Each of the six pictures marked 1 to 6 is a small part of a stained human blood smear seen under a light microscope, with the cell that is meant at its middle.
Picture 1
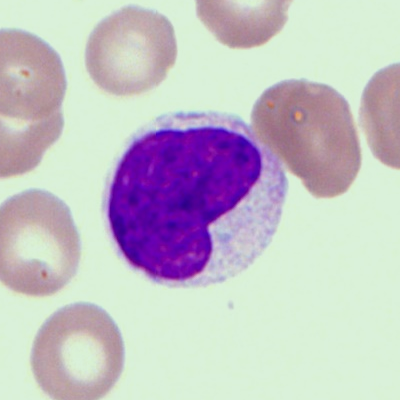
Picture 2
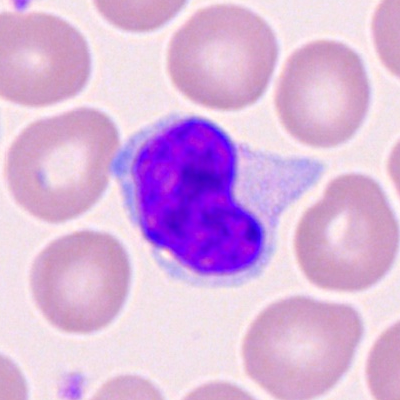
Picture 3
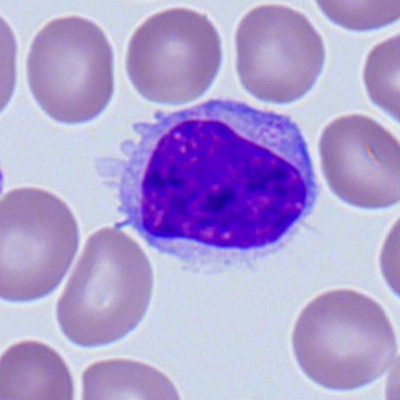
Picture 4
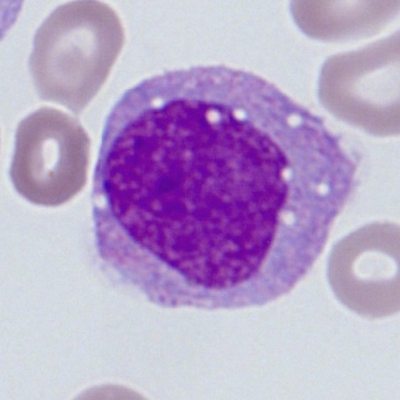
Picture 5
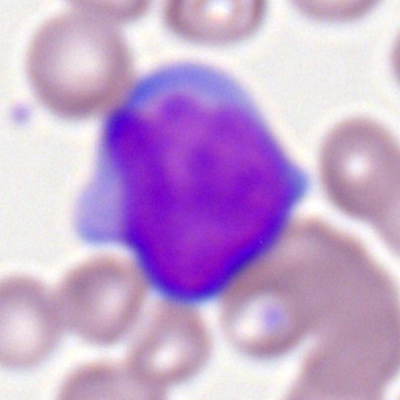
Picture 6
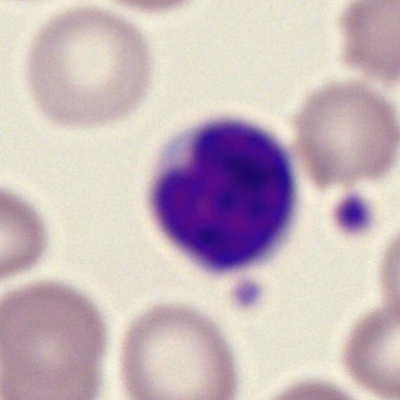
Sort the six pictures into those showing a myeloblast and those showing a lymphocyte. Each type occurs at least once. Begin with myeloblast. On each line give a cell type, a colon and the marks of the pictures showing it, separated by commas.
myeloblast: 4, 5
lymphocyte: 1, 2, 3, 6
